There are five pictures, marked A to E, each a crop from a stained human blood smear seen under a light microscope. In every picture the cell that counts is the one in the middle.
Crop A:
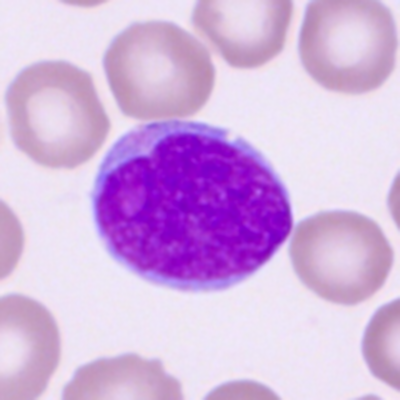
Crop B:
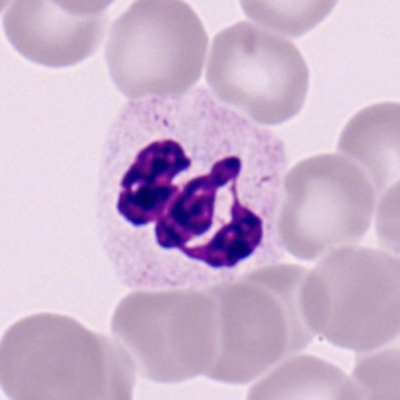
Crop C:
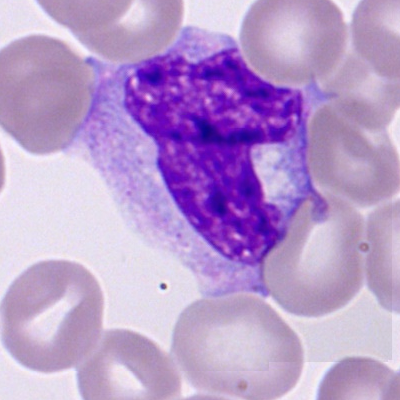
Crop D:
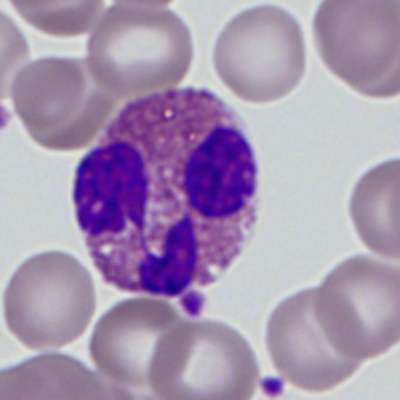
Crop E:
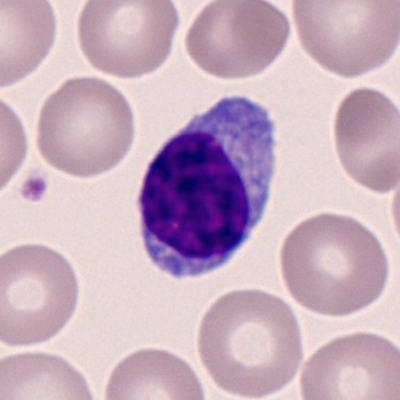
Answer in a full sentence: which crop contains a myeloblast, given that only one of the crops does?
It is in crop A, among all the crops, that a myeloblast is present.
